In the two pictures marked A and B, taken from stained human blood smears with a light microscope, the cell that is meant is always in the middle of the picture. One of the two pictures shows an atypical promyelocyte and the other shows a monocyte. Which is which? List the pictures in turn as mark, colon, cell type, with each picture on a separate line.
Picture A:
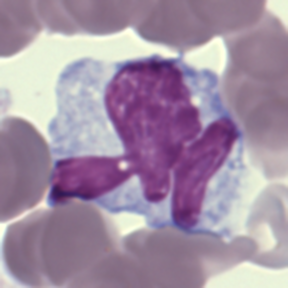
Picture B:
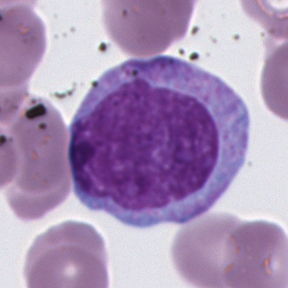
A: monocyte
B: atypical promyelocyte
